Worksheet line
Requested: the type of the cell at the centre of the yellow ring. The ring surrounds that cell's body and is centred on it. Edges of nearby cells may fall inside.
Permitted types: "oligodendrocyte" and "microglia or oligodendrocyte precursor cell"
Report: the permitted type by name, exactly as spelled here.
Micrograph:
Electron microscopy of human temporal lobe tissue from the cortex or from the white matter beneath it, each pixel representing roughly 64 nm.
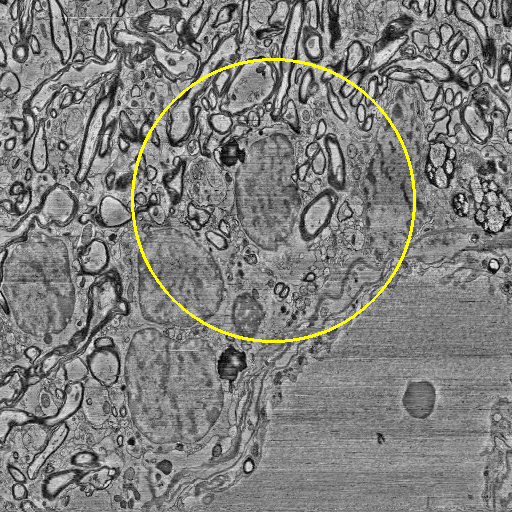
oligodendrocyte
